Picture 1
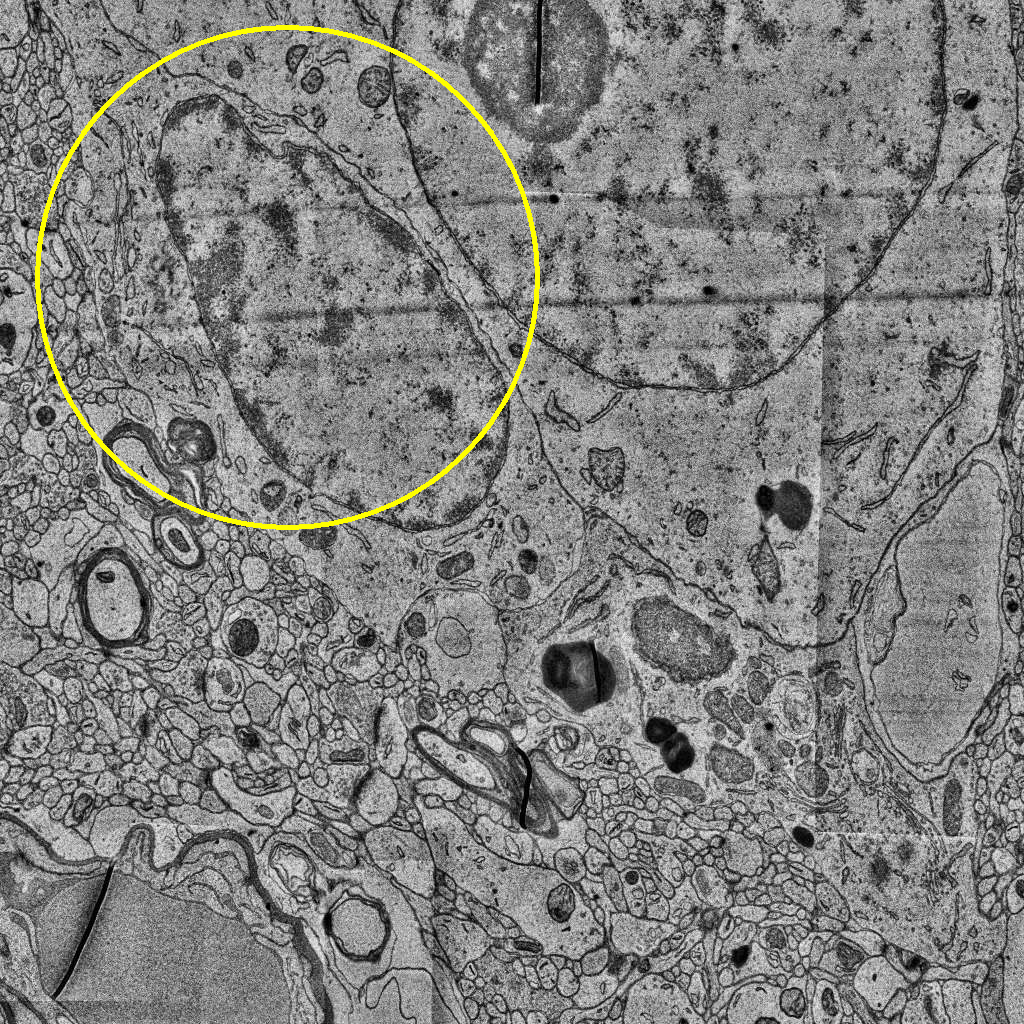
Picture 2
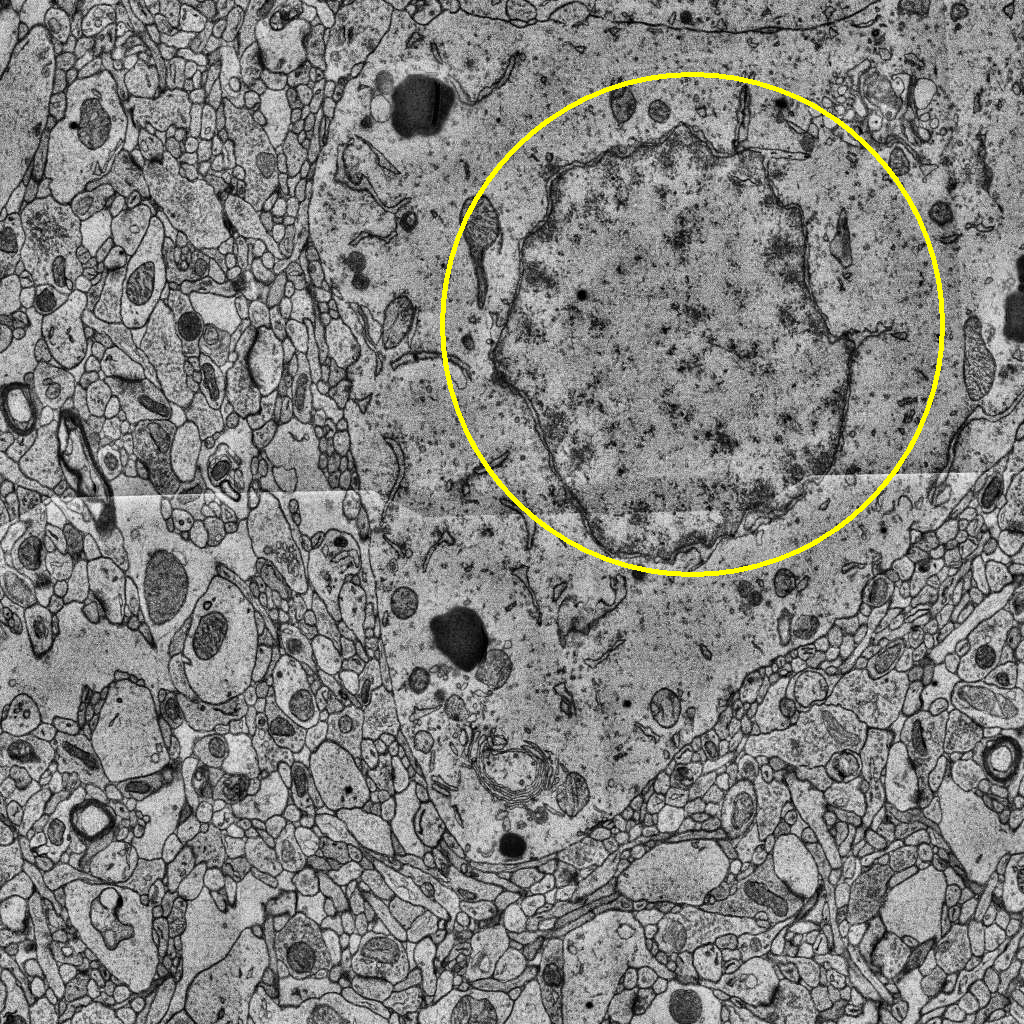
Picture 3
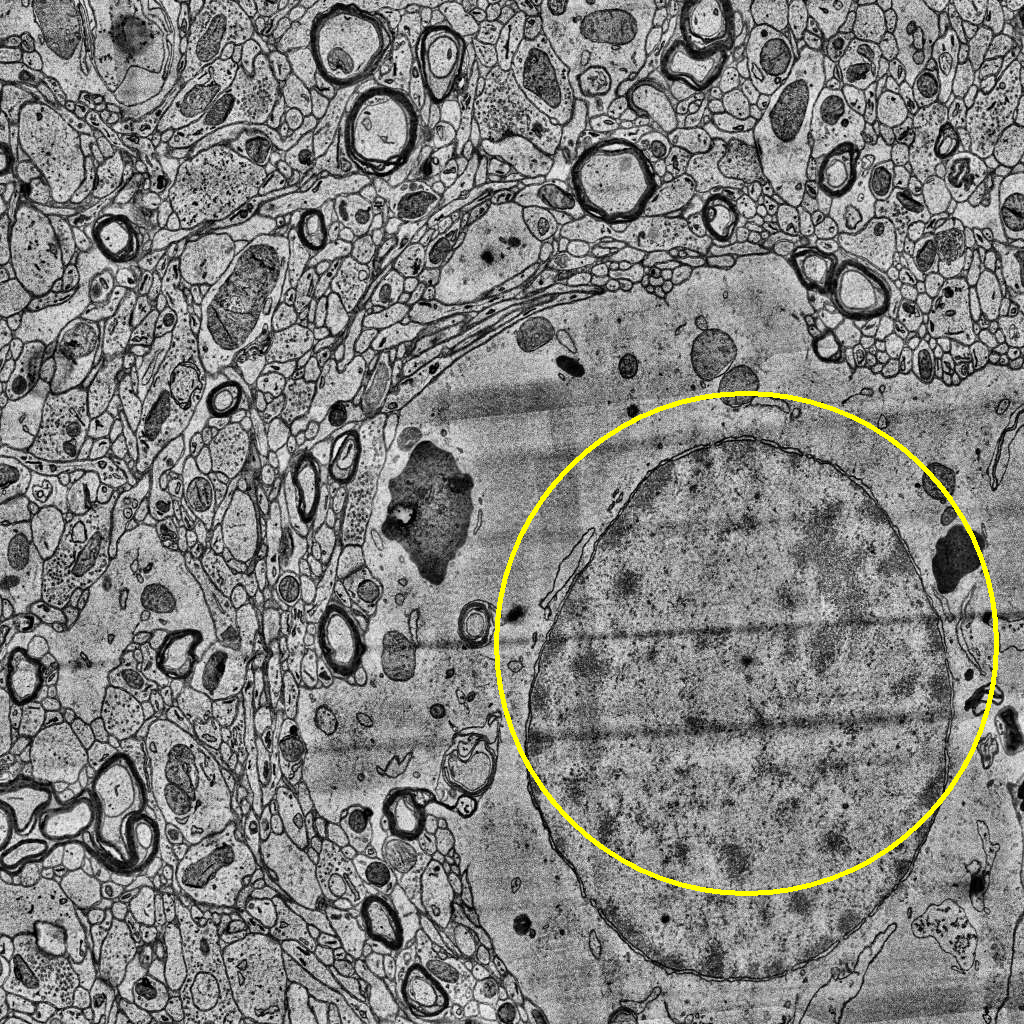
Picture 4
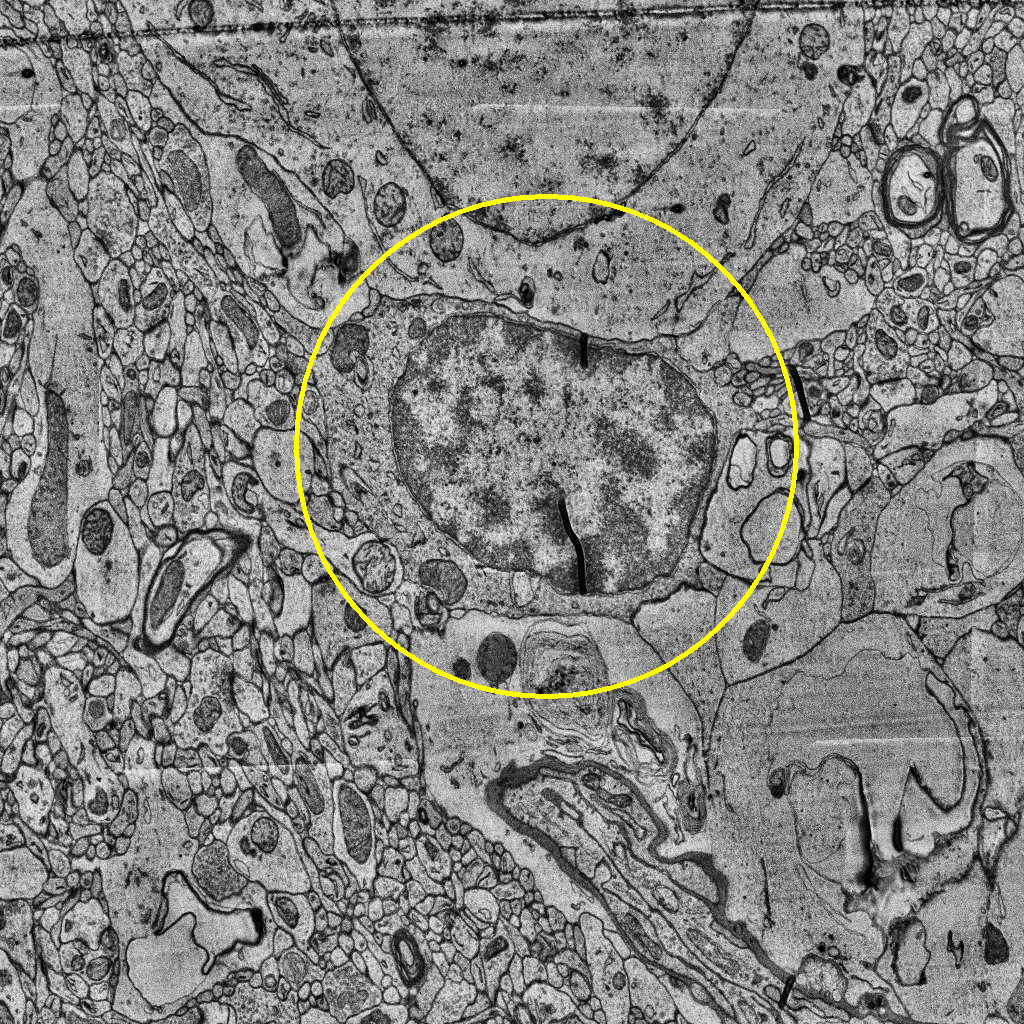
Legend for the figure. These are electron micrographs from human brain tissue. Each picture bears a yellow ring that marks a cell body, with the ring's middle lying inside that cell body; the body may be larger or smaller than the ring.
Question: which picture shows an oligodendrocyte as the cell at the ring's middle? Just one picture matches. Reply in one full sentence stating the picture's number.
It is picture 4 whose yellow ring has its centre inside the requested cell.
